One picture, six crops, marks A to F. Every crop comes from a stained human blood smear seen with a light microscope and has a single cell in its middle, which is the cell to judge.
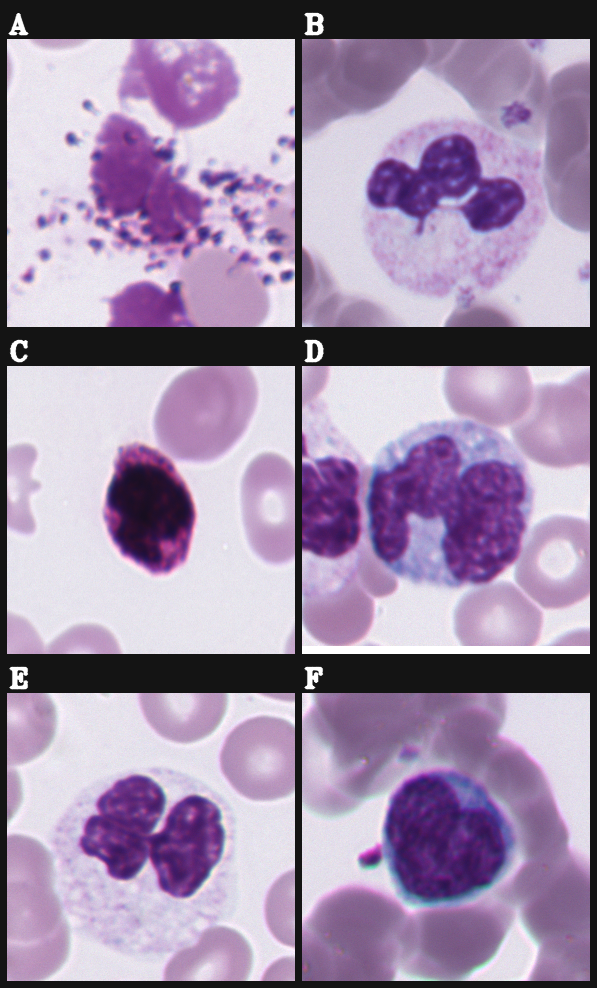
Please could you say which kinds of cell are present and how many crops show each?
basophil: 2
segmented neutrophil: 2
monocyte: 2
